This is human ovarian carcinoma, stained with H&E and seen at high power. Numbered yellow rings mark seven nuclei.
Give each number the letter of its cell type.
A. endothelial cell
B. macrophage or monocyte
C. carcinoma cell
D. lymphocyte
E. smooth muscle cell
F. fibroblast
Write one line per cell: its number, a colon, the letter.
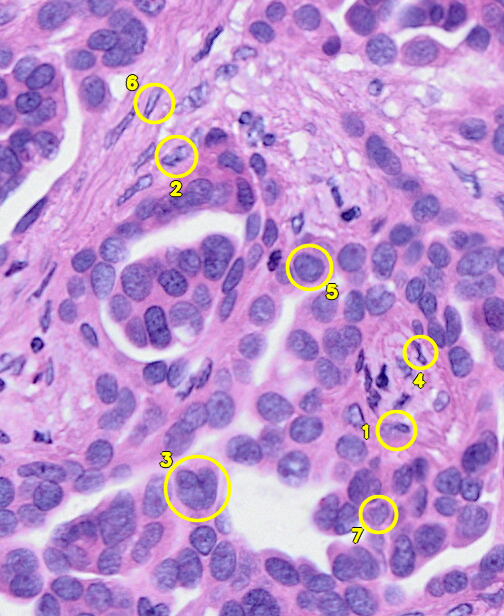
1: F
2: F
3: C
4: F
5: C
6: F
7: C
